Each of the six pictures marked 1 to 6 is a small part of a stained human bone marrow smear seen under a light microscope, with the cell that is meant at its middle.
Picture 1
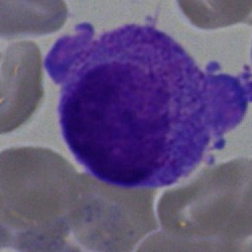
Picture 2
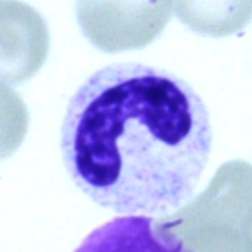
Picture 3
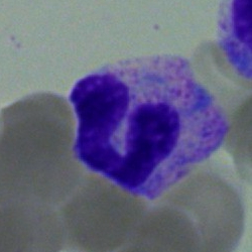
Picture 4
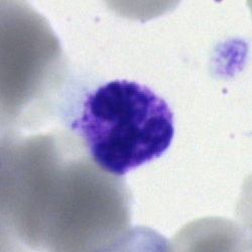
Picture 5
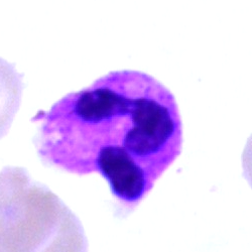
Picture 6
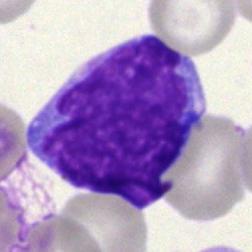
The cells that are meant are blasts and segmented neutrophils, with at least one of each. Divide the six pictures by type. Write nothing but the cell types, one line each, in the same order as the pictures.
blast
segmented neutrophil
segmented neutrophil
segmented neutrophil
segmented neutrophil
blast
